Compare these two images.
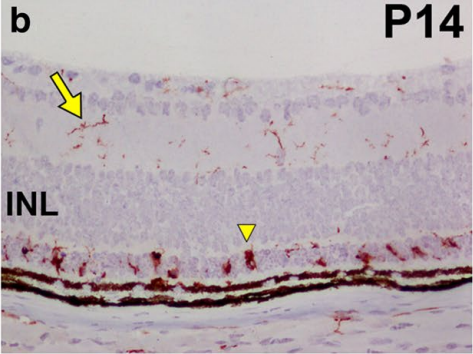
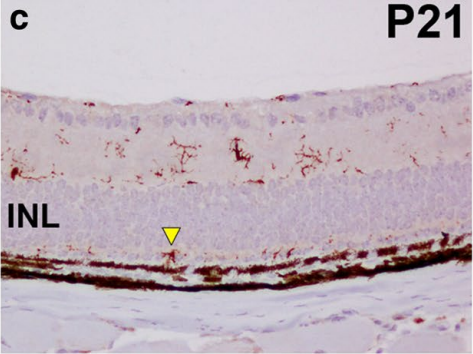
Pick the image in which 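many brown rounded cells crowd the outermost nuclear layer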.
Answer: The first image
